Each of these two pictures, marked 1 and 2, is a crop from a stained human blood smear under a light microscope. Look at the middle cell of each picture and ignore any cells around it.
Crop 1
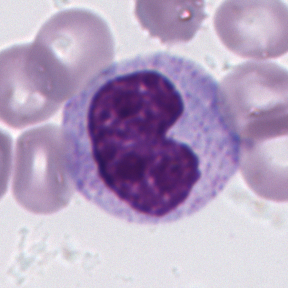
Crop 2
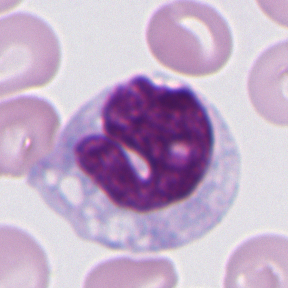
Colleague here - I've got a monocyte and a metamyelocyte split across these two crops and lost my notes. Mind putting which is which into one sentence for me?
Crop 1 has been identified as a metamyelocyte, and crop 2 has been identified as a monocyte.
